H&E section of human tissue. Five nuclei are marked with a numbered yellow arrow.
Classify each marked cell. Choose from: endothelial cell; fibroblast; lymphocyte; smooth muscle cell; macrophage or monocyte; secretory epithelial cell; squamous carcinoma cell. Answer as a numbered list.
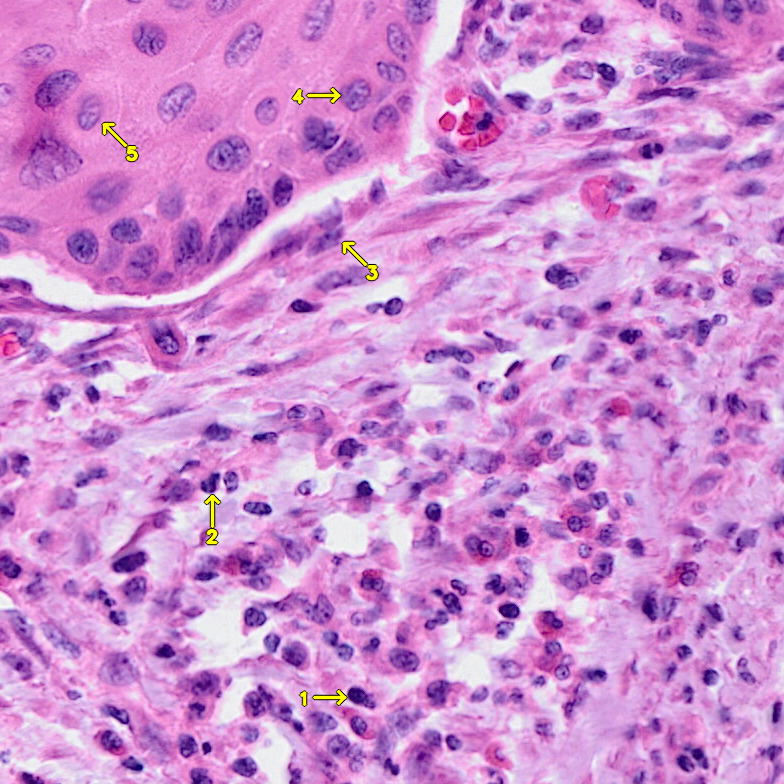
1. lymphocyte
2. lymphocyte
3. fibroblast
4. squamous carcinoma cell
5. squamous carcinoma cell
